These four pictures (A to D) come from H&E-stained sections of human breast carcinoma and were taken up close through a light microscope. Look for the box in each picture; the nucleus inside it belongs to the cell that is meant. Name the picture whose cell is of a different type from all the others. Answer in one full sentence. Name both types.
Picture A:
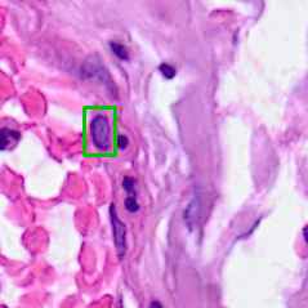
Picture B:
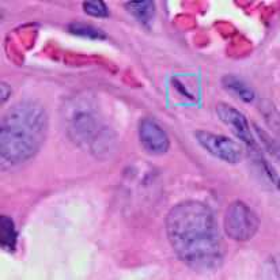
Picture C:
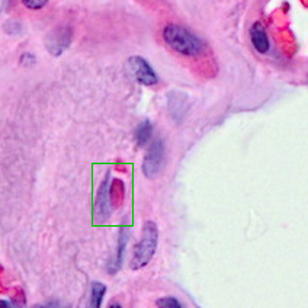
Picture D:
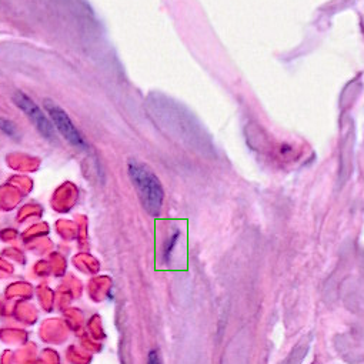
Unlike the rest, which show endothelial cells, picture D shows a fibroblast.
